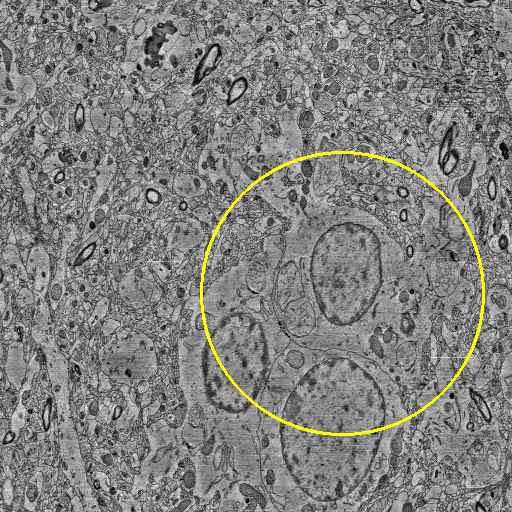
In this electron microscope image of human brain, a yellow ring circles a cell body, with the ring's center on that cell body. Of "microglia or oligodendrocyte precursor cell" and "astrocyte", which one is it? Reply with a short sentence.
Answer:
It is an astrocyte at the center of the ring.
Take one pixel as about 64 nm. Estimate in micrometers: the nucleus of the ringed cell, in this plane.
The nucleus appears roughly 7 by 5 micrometres in this plane.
